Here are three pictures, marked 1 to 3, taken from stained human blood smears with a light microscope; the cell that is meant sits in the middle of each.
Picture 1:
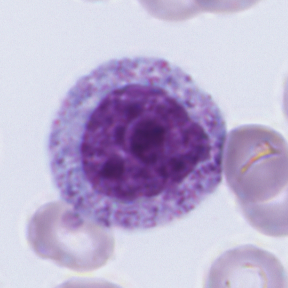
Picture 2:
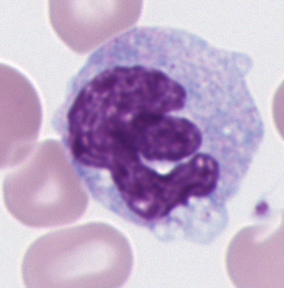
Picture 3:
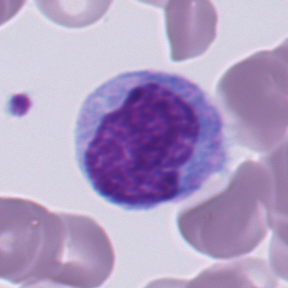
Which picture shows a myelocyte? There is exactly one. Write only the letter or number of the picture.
1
